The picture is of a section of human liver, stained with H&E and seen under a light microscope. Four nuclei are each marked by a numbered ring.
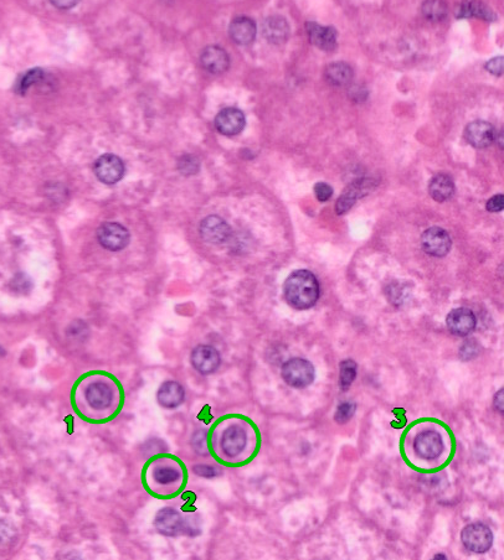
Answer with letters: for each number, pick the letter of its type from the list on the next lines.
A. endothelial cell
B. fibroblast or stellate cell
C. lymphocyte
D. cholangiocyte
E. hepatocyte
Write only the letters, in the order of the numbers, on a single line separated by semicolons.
E; C; E; E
